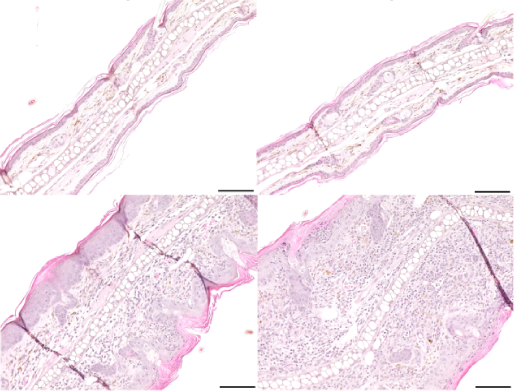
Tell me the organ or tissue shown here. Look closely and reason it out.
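Ear pinnae. A thin plate of pale cells with clear, bubble-like cytoplasm runs down the middle of each section. A skin layer covers both faces of this central plate.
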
